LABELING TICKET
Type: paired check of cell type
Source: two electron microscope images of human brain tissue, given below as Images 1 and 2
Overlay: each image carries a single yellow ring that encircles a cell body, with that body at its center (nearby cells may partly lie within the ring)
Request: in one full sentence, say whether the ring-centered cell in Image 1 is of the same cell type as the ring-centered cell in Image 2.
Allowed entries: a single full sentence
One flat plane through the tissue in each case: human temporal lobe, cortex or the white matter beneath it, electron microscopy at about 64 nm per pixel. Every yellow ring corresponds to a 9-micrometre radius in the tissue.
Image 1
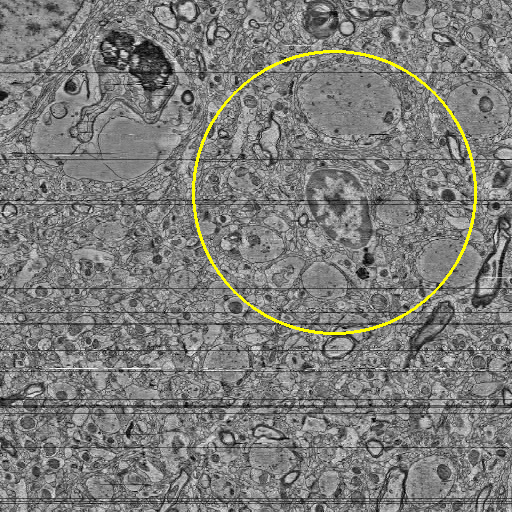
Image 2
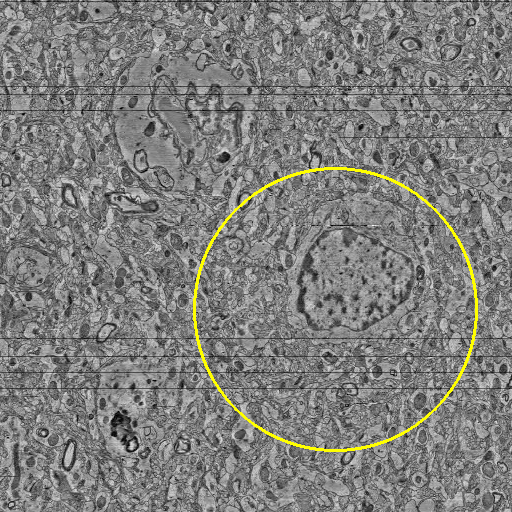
Yes, the cells centered in the rings of Image 1 and Image 2 share one type.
